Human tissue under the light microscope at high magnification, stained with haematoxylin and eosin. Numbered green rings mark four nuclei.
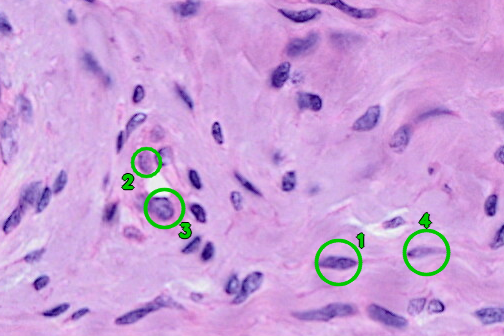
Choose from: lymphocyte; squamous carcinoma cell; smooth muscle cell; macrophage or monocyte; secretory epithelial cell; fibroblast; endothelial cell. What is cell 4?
fibroblast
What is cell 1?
fibroblast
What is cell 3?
endothelial cell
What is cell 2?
endothelial cell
